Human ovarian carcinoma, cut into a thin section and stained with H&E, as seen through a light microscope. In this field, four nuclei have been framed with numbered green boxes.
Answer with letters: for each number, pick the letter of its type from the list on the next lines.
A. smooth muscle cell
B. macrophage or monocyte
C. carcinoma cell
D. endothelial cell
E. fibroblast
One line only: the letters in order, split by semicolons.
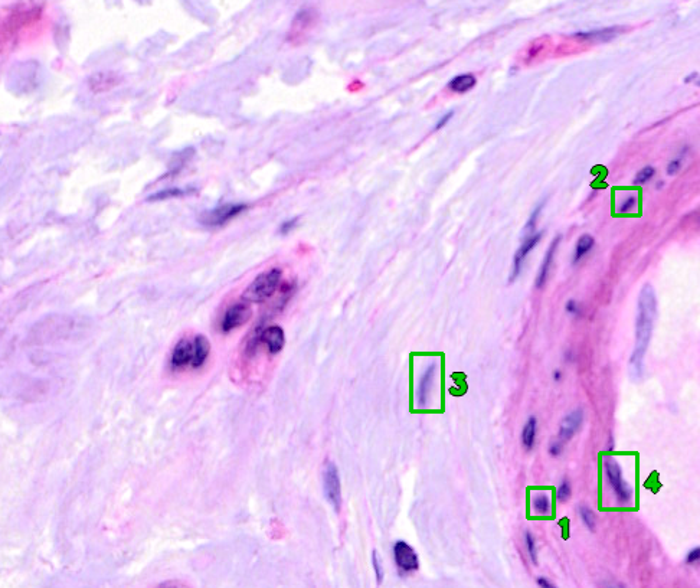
A; A; E; D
